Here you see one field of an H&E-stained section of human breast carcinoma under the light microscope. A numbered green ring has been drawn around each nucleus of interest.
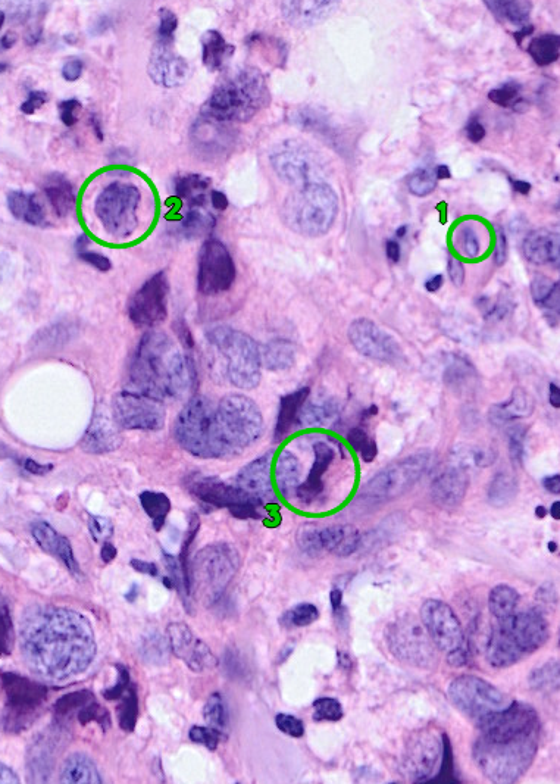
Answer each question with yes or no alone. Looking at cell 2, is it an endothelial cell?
no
